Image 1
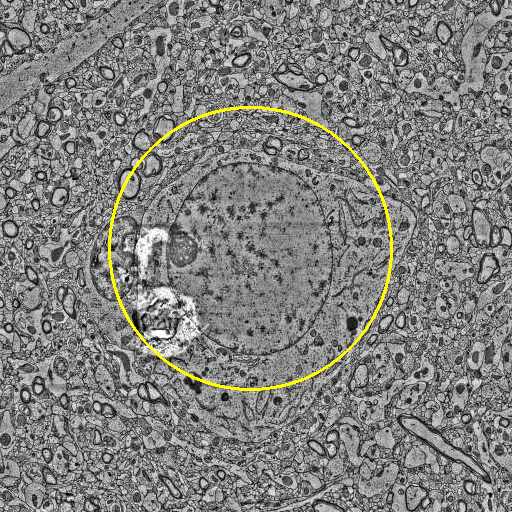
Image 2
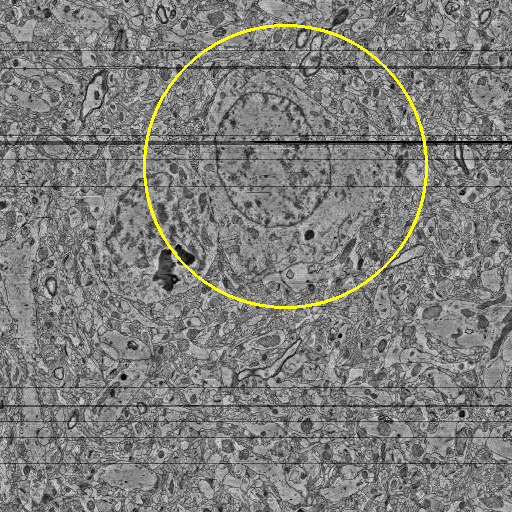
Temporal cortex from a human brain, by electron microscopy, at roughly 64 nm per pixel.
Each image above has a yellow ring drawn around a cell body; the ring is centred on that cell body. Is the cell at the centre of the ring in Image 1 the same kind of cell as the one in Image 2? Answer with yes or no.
yes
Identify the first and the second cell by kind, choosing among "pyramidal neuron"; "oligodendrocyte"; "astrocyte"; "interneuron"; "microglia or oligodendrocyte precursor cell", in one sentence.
In each picture the ringed cell is a pyramidal neuron.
